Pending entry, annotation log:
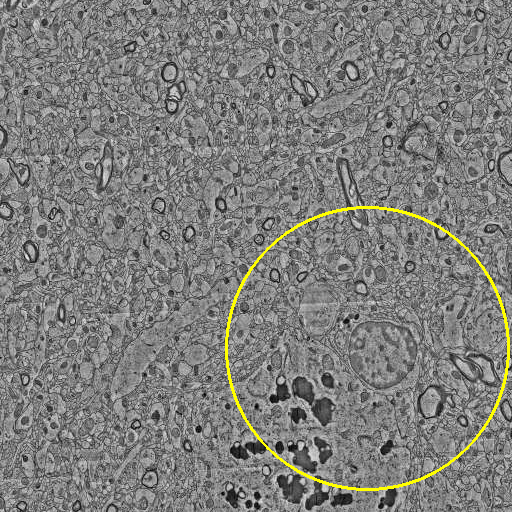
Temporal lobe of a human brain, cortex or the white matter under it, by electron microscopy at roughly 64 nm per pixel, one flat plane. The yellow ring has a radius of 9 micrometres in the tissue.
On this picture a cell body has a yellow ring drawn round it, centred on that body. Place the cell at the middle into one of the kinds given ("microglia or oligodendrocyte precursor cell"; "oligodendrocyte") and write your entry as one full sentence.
The cell body at the middle of the yellow ring belongs to a microglial cell or oligodendrocyte precursor cell.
